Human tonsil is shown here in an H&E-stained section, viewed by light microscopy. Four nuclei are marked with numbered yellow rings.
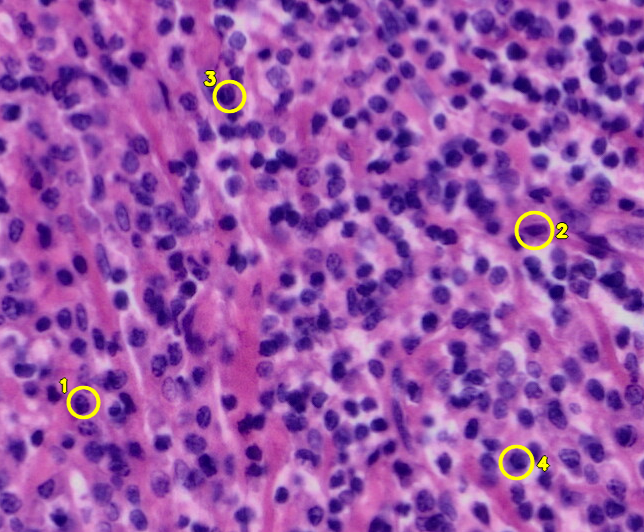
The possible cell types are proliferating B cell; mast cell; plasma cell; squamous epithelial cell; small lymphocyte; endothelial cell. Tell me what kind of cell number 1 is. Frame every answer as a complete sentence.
The marked cell with the number 1 is recognised as a plasma cell.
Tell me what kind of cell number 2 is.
The cell indicated by marker 2 is an endothelial cell in this section.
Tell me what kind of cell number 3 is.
The cell marked with number 3 is a plasma cell.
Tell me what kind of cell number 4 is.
Within this field of view, the cell labelled 4 is a mast cell.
